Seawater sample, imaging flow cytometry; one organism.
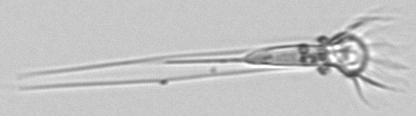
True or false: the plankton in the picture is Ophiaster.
False; it is a tintinnid.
